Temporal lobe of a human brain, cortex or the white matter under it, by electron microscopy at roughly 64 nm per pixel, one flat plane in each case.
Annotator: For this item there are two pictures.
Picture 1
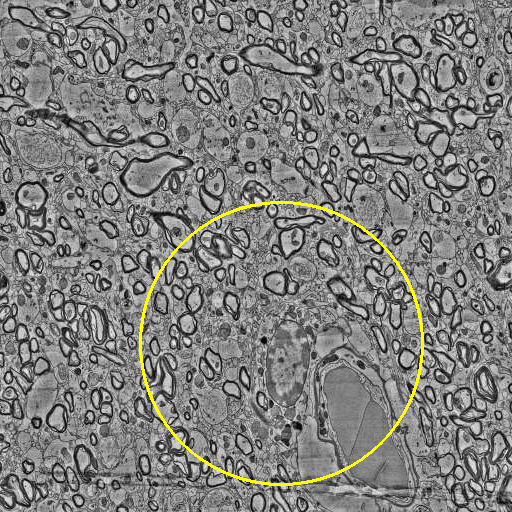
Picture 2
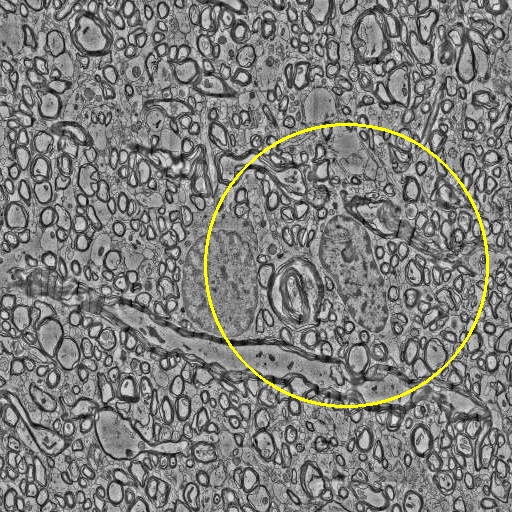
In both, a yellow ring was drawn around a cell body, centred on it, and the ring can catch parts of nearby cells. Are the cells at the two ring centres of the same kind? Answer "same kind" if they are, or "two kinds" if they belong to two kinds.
same kind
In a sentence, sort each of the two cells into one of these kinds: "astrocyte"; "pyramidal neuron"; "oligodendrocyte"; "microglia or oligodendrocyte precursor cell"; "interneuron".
Each of the ringed cells, first and second, is a microglial cell or oligodendrocyte precursor cell.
